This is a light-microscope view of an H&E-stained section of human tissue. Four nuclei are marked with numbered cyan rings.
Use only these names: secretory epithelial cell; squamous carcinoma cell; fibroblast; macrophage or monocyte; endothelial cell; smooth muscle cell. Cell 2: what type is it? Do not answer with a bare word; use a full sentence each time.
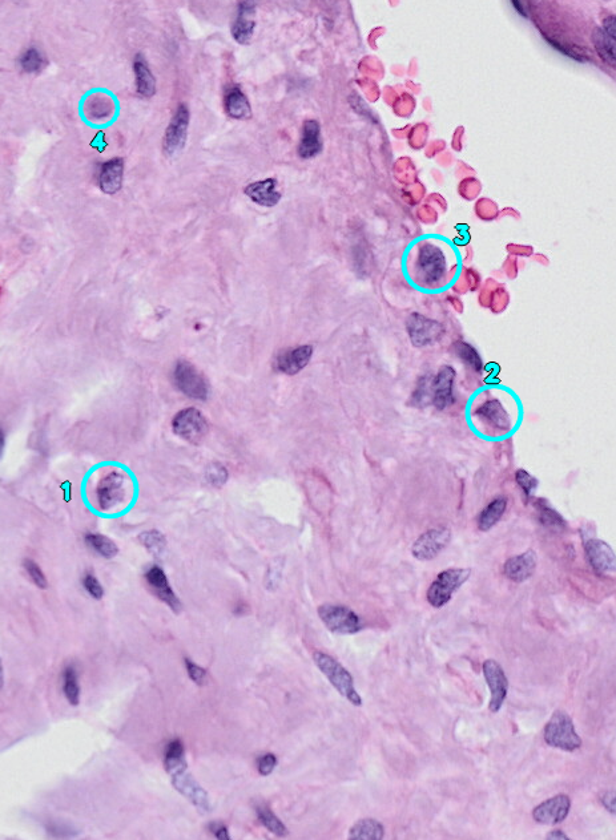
The cell assigned the number 2 is an endothelial cell.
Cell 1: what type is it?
Among the marked nuclei, number 1 belongs to a macrophage or monocyte.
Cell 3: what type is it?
The cell carrying label 3 is identified as an endothelial cell.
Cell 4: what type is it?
In this section, number 4 marks a fibroblast.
